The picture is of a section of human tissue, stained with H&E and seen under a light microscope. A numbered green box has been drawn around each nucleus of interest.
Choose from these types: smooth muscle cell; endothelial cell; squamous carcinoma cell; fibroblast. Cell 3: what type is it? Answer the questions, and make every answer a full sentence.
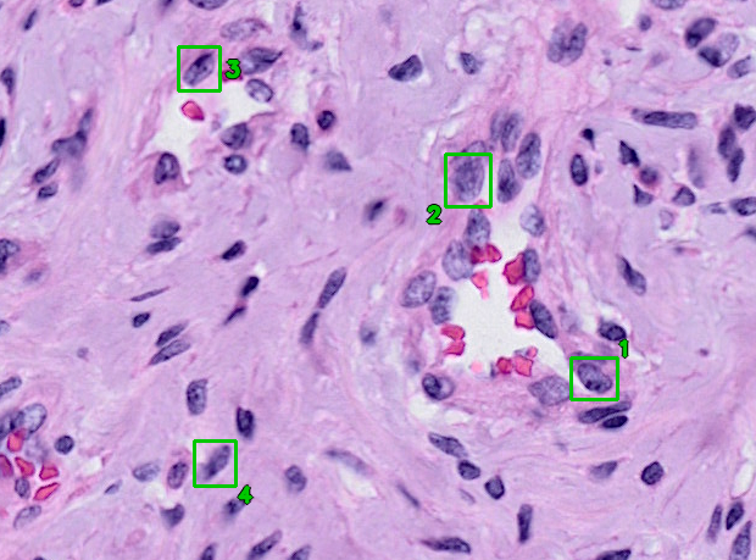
The label 3 in this section denotes an endothelial cell.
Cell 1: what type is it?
The cell that carries the label 1 is an endothelial cell.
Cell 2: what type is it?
The nucleus labeled 2 belongs to an endothelial cell.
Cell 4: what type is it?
Cell 4, among those numbered, is a fibroblast.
